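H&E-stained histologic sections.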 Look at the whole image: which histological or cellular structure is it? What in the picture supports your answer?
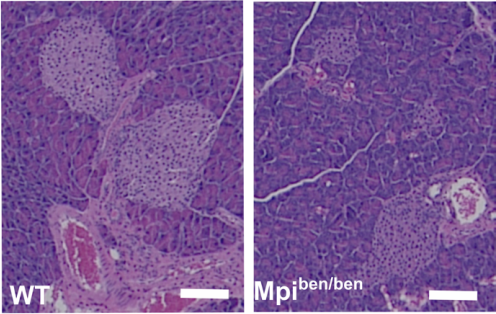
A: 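Rounded, pale pink clusters of cells stand out within the tissue. The clusters are surrounded by more darkly purple-staining glandular tissue. Small dark nuclei are scattered fairly evenly through the pale clusters.
Pancreatic islets.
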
